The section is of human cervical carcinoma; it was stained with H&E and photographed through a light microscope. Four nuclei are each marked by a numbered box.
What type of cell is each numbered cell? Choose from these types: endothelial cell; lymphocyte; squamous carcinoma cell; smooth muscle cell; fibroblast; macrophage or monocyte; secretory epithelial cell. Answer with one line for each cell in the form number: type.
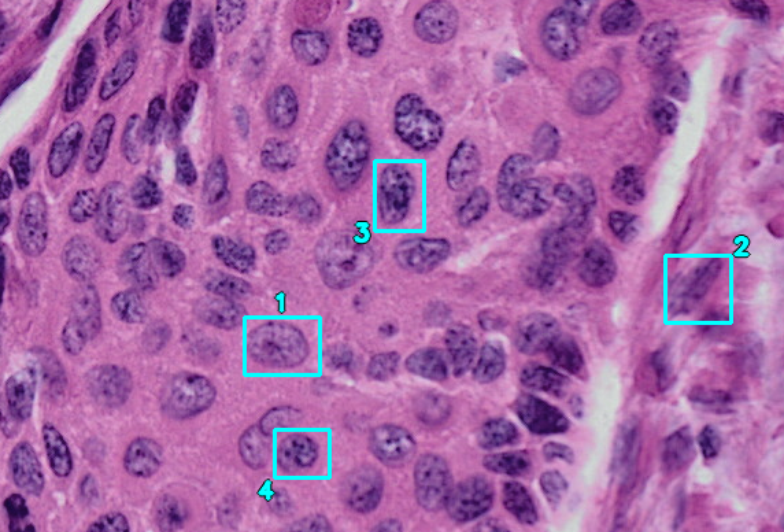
1: squamous carcinoma cell
2: fibroblast
3: squamous carcinoma cell
4: squamous carcinoma cell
